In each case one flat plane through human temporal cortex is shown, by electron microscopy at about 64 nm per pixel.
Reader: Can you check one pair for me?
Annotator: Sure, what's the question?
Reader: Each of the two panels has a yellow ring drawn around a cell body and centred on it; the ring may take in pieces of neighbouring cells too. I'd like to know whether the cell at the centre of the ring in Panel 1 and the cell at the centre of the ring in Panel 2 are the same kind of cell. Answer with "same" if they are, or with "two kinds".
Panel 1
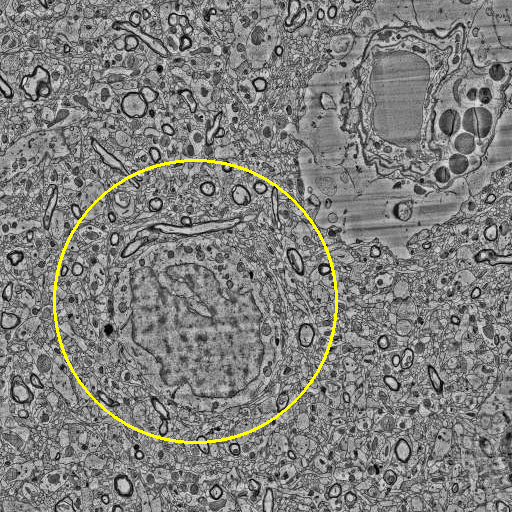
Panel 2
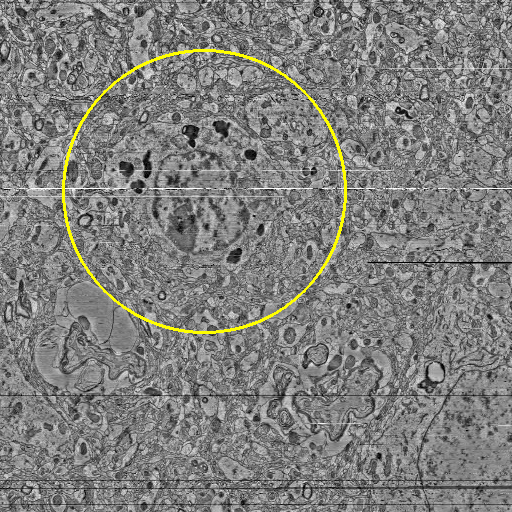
same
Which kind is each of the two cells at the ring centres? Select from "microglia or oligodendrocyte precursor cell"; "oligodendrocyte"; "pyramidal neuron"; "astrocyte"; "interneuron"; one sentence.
Each of the two pictures has an interneuron at the ring centre.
